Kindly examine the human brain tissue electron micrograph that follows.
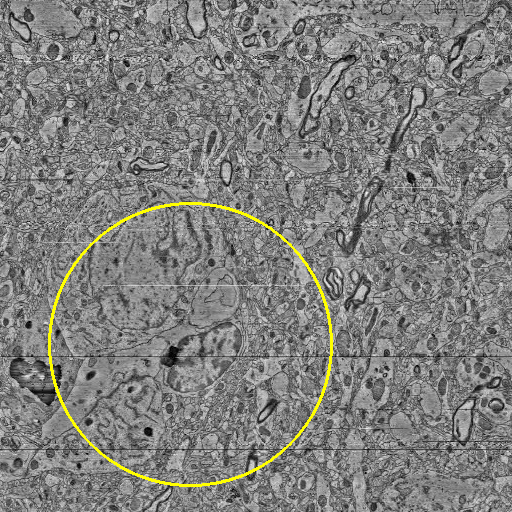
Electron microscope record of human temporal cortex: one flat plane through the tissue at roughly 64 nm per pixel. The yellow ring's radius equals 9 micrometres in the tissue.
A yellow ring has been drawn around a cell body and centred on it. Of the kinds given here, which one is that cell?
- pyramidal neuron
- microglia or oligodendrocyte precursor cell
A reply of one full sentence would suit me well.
The micrograph's ringed cell, the one at the ring's centre, is a microglial cell or oligodendrocyte precursor cell.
